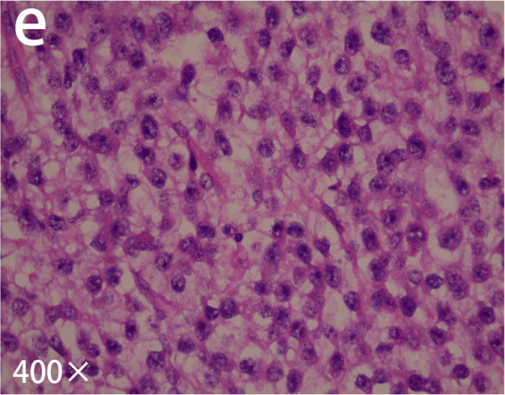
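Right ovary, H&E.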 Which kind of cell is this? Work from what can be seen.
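Cytoplasm is pale to clear.
Answer: polygonal tumor cells with distinct cell borders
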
